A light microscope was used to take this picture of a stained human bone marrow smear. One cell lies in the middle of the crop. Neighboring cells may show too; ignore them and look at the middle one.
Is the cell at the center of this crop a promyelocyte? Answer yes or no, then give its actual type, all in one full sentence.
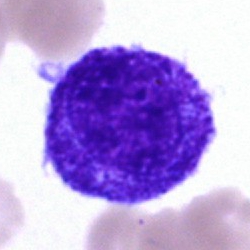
Yes, the identification of the central cell as a promyelocyte is correct.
